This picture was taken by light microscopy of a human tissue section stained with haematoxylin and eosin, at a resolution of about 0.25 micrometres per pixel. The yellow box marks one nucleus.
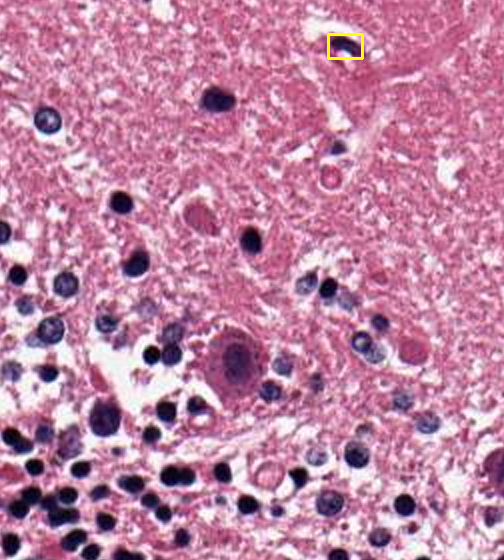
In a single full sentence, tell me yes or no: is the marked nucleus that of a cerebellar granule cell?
No, the marked nucleus, which belongs to a supporting cell, is not part of a cerebellar granule cell.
